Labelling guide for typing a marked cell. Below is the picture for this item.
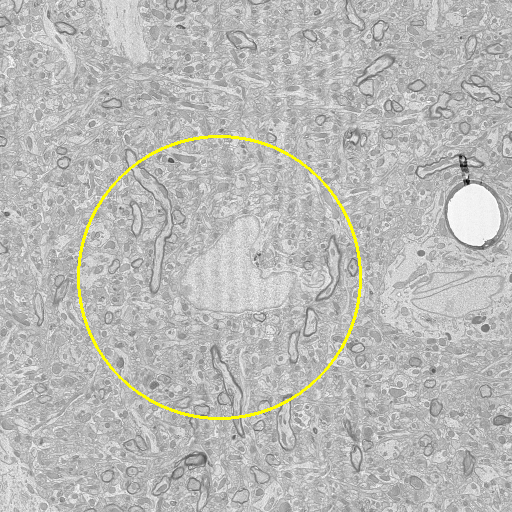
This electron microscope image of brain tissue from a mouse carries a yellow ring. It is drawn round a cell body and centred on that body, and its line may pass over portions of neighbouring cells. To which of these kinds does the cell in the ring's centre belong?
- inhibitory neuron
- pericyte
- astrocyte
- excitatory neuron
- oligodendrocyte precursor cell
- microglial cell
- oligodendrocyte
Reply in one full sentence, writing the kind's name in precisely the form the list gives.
Here we have an oligodendrocyte precursor cell at the centre of the yellow ring in the picture.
